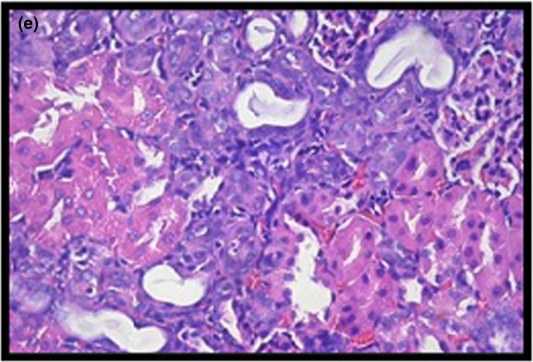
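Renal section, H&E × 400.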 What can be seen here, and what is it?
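This is kidney tissue in which some tubules are lined by crowded epithelial cells with dark purple, enlarged nuclei and darker cytoplasm, unlike the neighbouring tubules whose cells have pink cytoplasm. Nearby lumina hold pale, glassy, folded hyaline material. Small dark nuclei of inflammatory cells are scattered between the tubules.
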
